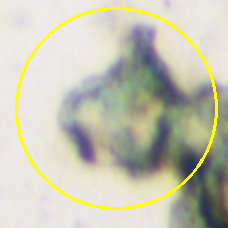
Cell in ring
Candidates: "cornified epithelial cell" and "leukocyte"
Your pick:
cornified epithelial cell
